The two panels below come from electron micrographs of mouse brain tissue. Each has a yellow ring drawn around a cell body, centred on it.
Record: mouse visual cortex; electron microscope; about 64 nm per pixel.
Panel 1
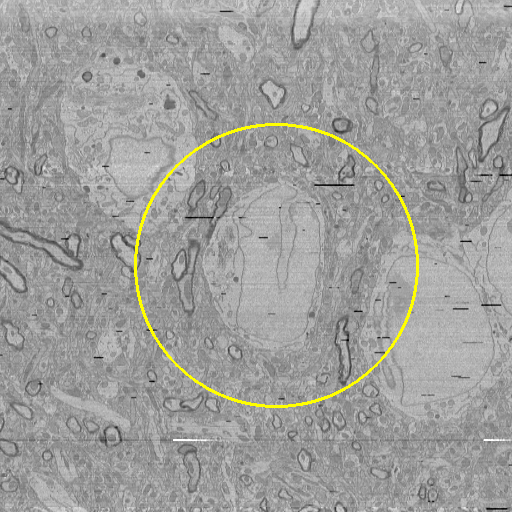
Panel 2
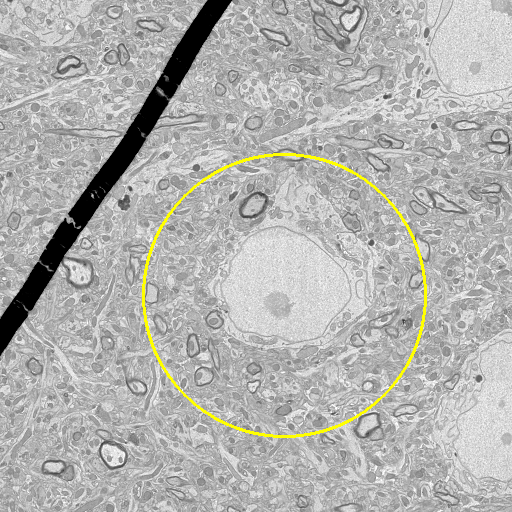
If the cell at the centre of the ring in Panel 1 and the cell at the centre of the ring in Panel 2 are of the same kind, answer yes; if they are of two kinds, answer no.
yes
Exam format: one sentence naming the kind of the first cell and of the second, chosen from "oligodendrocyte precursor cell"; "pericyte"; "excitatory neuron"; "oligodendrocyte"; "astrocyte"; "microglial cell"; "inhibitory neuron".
Both rings mark an excitatory neuron, one in each picture.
